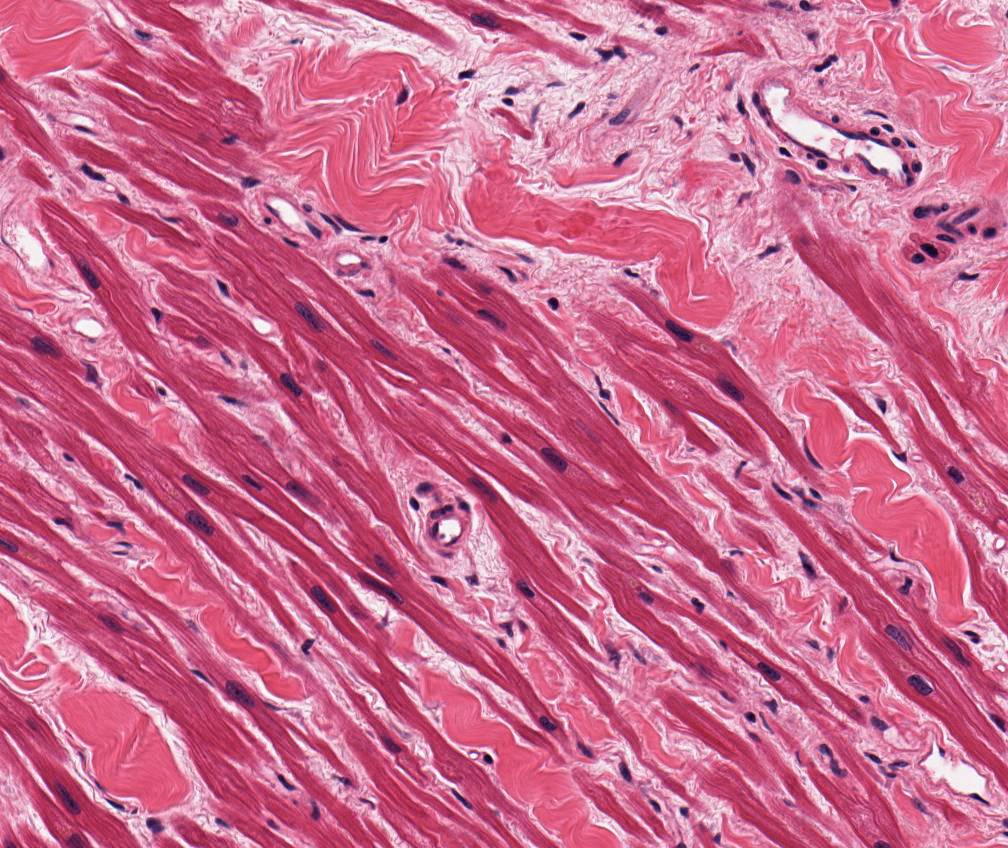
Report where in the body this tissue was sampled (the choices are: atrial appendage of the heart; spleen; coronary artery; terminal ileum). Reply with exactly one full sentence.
This histological section comes from the atrial appendage of the heart.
